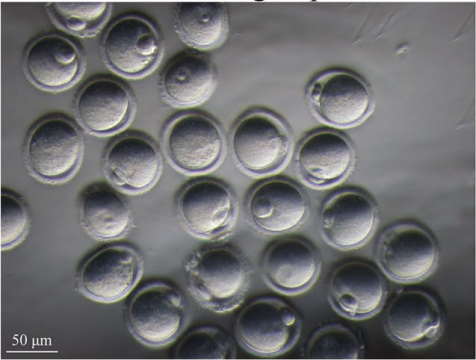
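These are isolated oocytes, each a large round cell with finely granular cytoplasm, scattered singly across the dish. In many of them a small round polar body can be seen tucked into that space at one side. A few cells look less regular at their edge, but most are evenly round and similar in size.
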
